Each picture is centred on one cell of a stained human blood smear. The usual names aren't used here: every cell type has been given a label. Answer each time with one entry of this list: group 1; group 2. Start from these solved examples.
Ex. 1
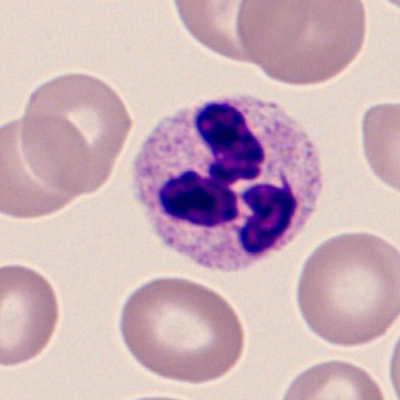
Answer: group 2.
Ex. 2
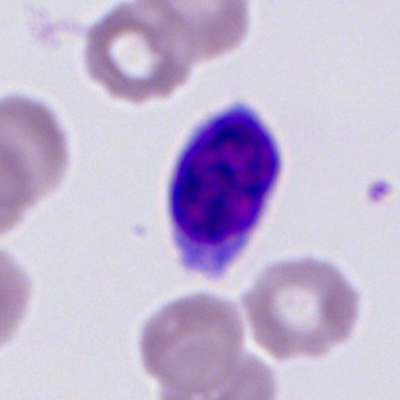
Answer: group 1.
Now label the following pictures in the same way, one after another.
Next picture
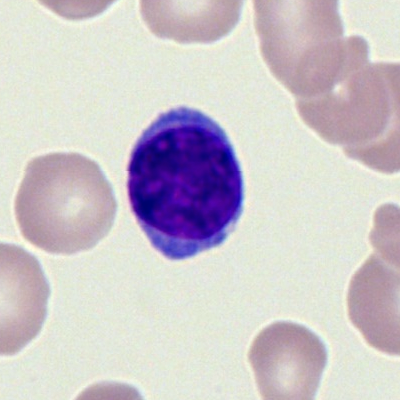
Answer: group 1.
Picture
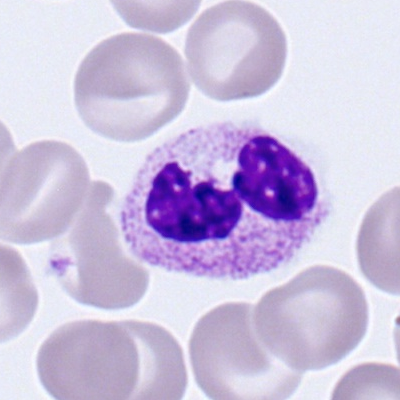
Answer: group 2.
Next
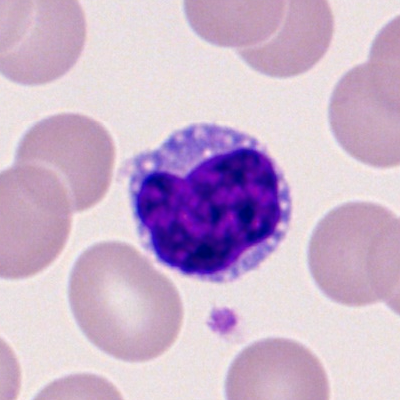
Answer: group 1.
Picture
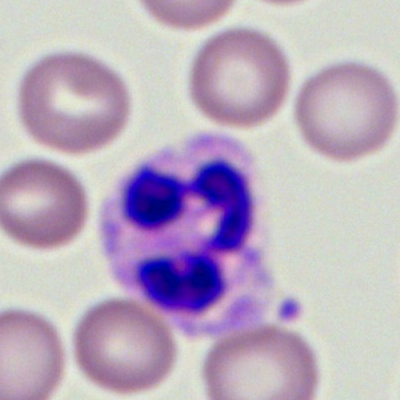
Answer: group 2.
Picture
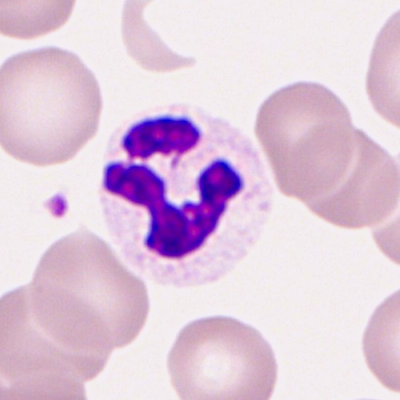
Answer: group 2.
